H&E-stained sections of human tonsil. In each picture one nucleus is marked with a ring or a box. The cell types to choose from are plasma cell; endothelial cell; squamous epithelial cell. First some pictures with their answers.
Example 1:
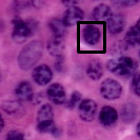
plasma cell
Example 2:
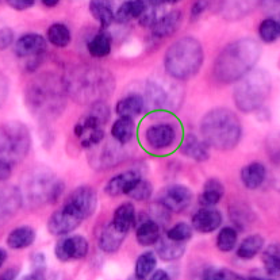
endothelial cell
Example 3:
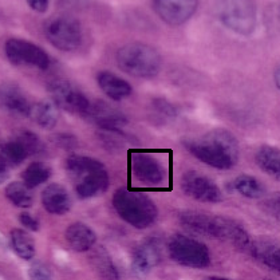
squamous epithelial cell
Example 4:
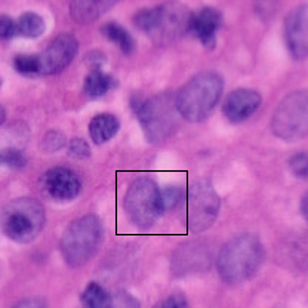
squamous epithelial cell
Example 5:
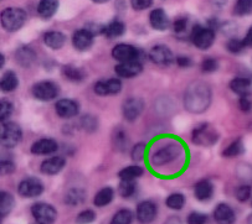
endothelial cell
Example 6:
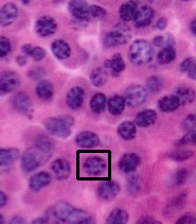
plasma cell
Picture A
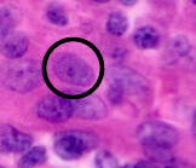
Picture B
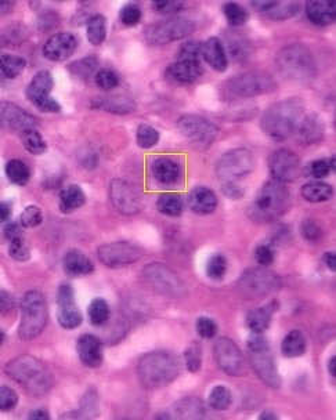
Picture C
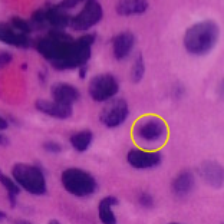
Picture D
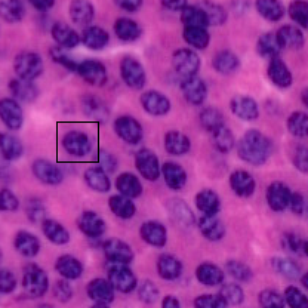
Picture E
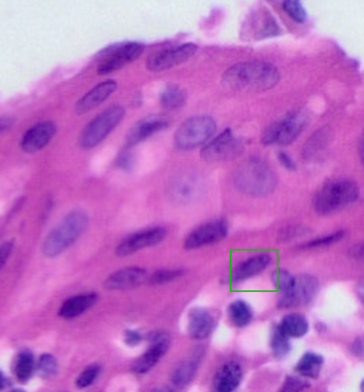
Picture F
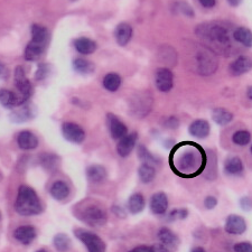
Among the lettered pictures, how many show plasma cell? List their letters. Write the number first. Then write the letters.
3: B, D, F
